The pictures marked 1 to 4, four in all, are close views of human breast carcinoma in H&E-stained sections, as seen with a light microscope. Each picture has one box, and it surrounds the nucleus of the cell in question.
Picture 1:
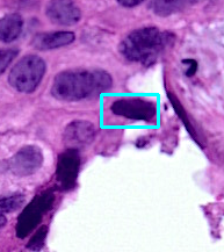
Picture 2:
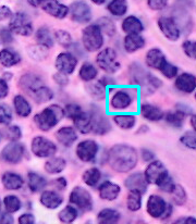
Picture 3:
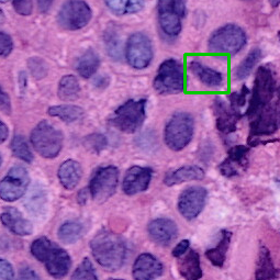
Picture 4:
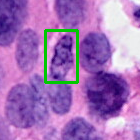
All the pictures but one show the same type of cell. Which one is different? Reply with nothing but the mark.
2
